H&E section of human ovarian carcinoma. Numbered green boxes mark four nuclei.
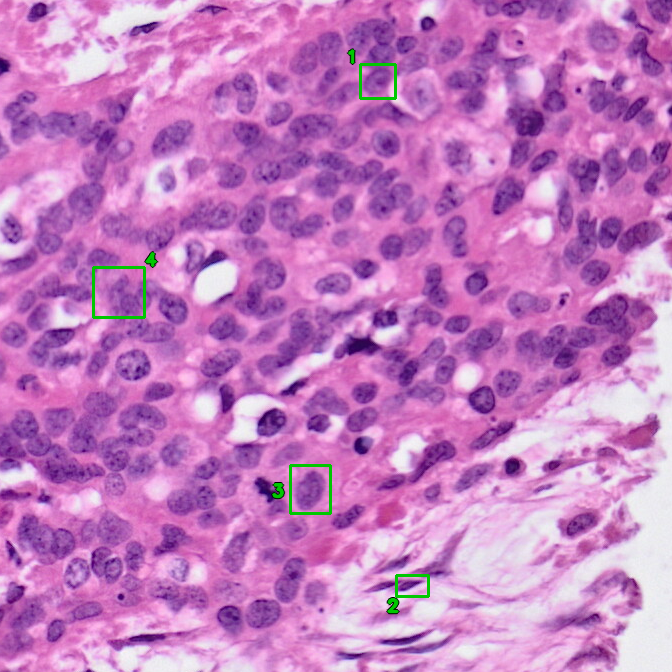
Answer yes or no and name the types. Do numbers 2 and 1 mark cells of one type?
No, cell 2 is typed as a fibroblast, and cell 1 is typed as a carcinoma cell.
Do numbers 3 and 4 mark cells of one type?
Yes, cells 3 and 4 both qualify as carcinoma cells.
